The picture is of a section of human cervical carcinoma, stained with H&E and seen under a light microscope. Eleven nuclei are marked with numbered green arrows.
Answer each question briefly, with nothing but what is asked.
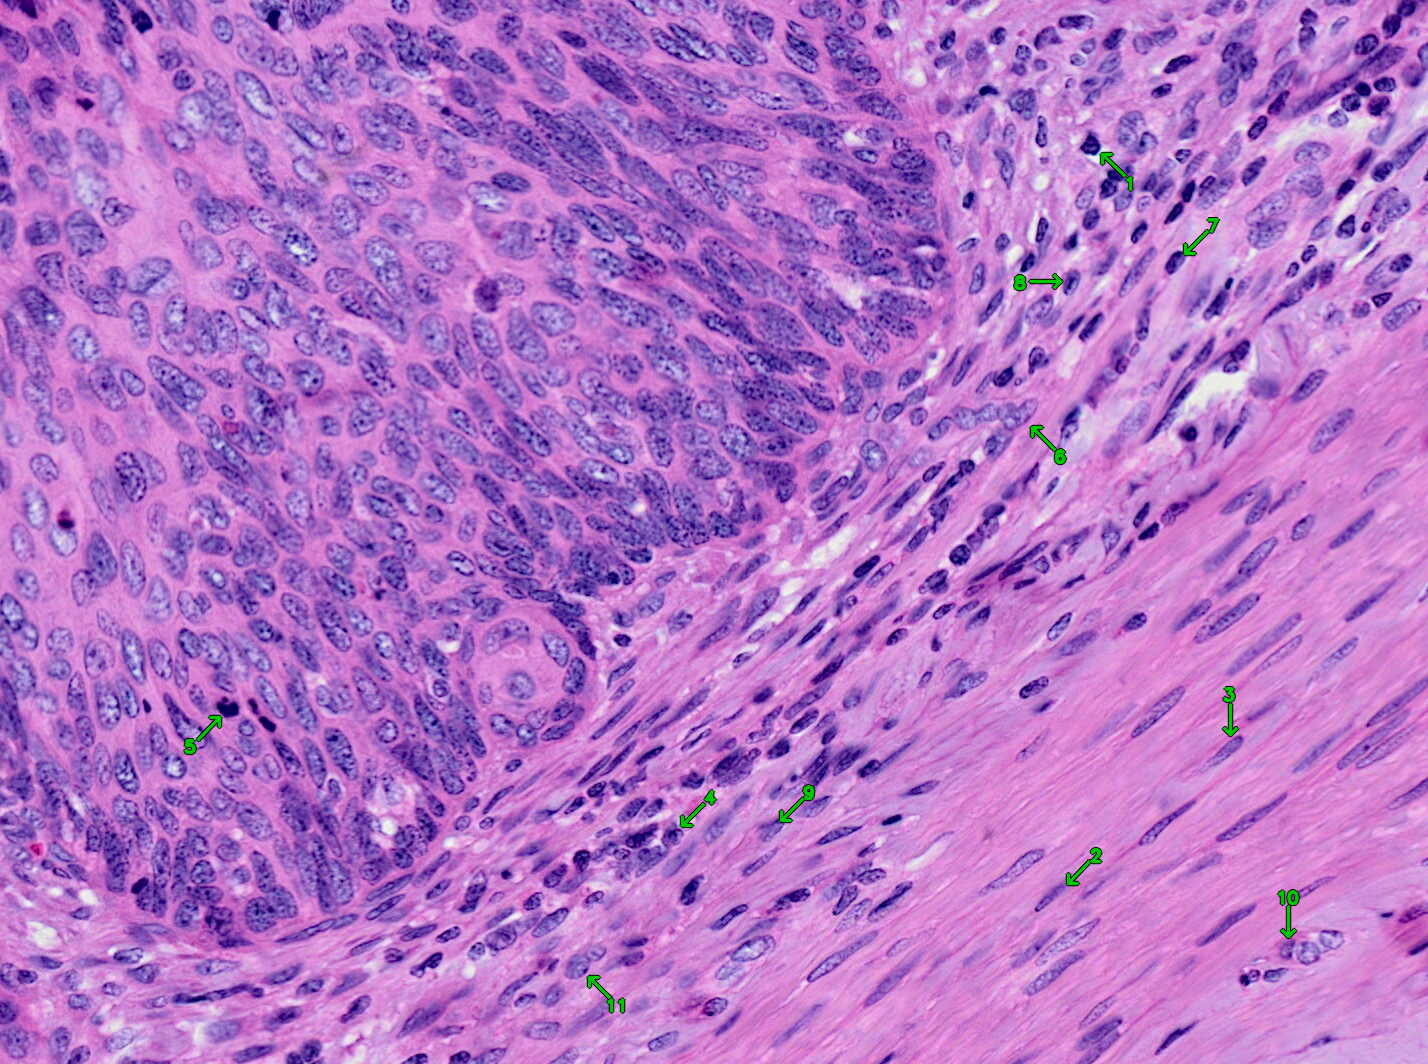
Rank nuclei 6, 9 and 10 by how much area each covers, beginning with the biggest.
6, 9, 10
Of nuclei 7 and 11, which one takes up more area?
11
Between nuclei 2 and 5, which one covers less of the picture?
5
